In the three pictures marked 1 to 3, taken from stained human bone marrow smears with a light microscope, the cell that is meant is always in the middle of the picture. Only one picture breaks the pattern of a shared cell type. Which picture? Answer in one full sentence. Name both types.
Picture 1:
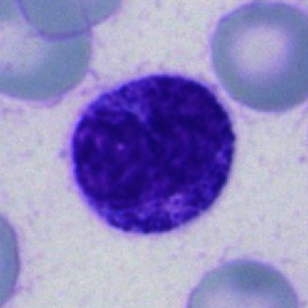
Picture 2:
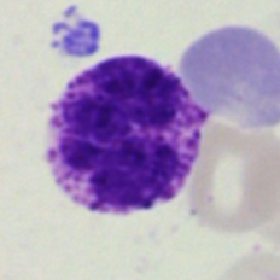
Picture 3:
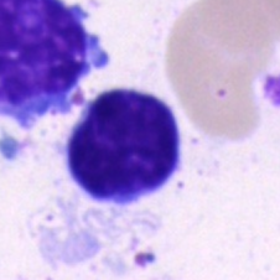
Picture 3 differs, because its cell is a lymphocyte and the rest are basophils.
